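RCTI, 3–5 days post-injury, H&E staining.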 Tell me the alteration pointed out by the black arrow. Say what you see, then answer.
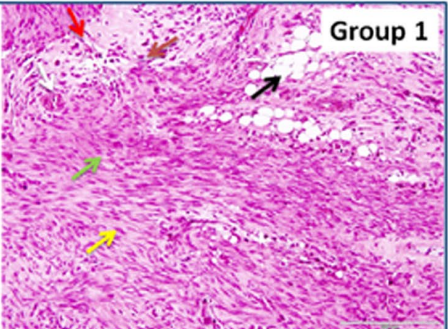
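A cluster of round, empty, clear vacuoles lies within the fibrous tissue. The vacuoles have thin rims and no stained content. On this evidence: fatty infiltration.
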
